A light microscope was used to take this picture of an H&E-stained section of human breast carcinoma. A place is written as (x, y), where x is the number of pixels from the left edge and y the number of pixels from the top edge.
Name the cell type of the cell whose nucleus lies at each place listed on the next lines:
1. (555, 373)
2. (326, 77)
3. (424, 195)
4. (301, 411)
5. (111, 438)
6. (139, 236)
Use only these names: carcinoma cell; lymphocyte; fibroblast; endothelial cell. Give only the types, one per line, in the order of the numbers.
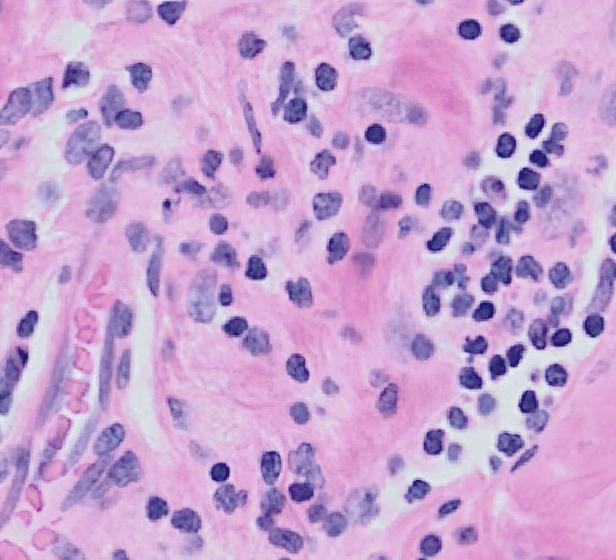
lymphocyte
lymphocyte
lymphocyte
lymphocyte
endothelial cell
endothelial cell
